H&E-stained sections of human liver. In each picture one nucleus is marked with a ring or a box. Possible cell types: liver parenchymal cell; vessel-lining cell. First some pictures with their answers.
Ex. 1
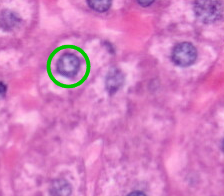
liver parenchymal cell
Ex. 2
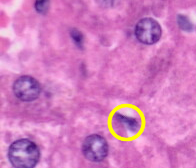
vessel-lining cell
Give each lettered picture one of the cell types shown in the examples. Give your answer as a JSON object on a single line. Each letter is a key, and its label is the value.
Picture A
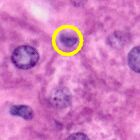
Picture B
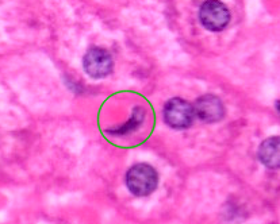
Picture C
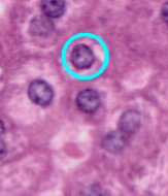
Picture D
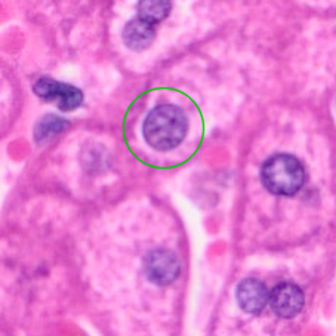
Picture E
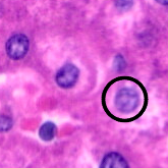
{"A": "vessel-lining cell", "B": "vessel-lining cell", "C": "liver parenchymal cell", "D": "liver parenchymal cell", "E": "liver parenchymal cell"}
